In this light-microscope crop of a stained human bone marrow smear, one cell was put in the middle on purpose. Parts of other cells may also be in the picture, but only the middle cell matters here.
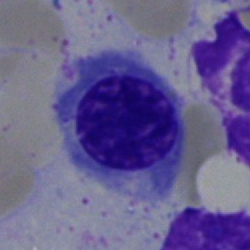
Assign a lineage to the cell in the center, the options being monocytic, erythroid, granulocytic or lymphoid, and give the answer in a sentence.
The cell at the middle of the crop is designated as erythroid in lineage.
